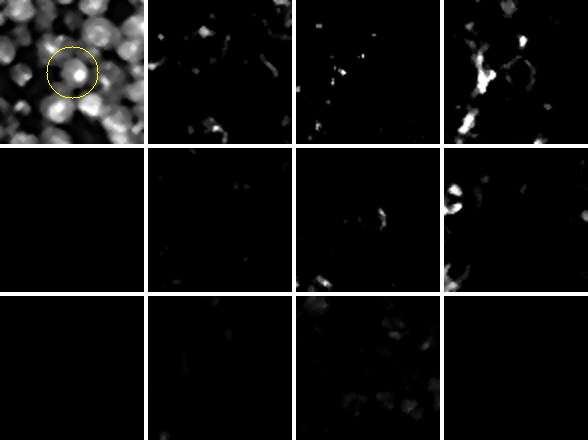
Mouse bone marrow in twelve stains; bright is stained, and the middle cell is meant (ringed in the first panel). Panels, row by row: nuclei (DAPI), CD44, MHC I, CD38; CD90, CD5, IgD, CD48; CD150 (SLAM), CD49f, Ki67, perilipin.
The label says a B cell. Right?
Right.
